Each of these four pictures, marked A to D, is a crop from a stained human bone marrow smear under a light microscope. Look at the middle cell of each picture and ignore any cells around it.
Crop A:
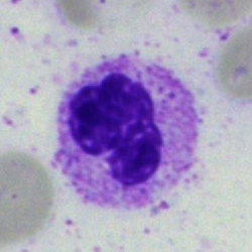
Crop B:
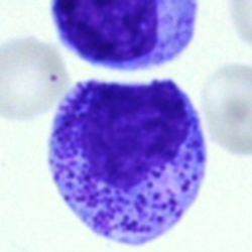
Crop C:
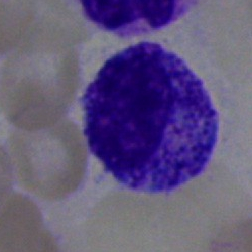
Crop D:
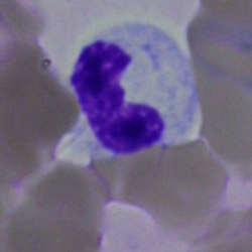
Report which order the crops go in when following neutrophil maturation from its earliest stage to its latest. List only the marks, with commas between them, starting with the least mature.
C, B, D, A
